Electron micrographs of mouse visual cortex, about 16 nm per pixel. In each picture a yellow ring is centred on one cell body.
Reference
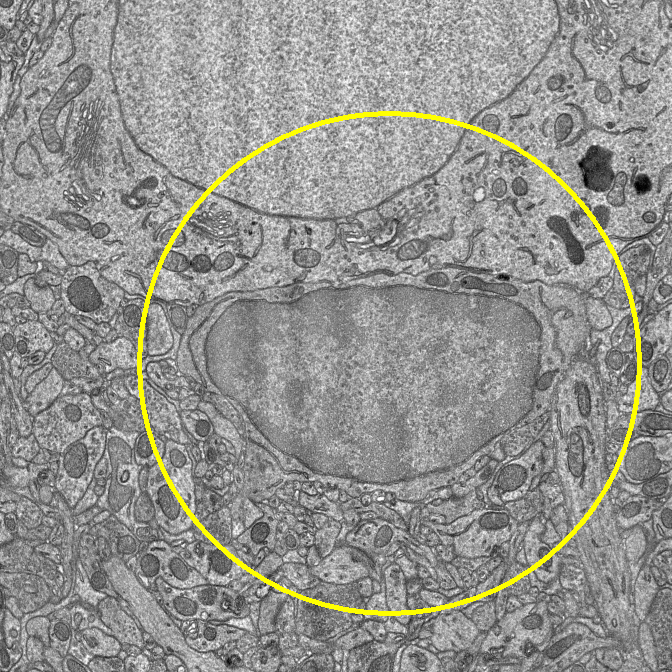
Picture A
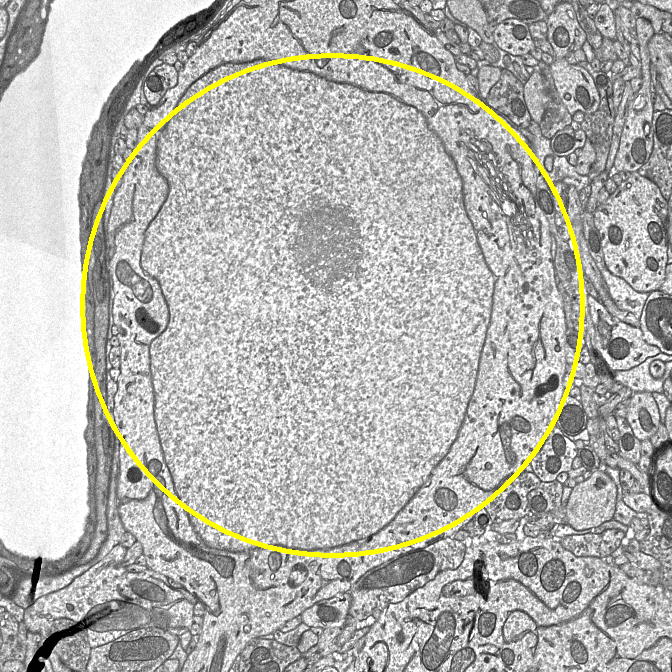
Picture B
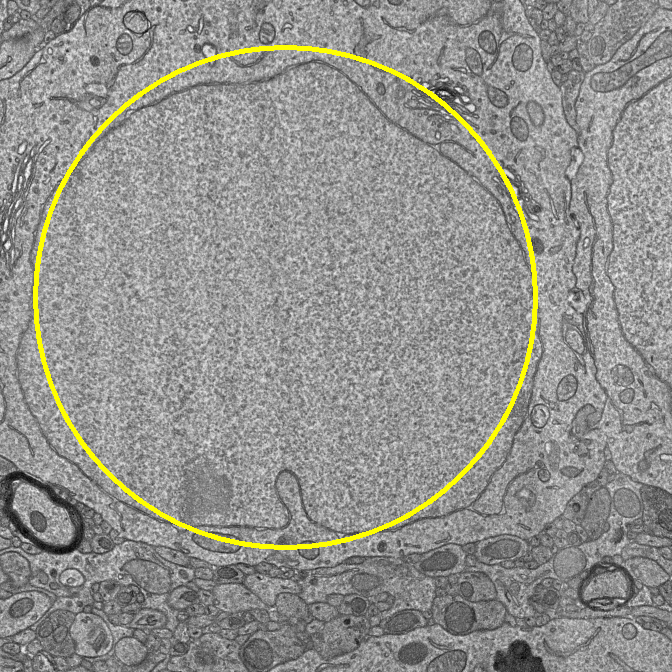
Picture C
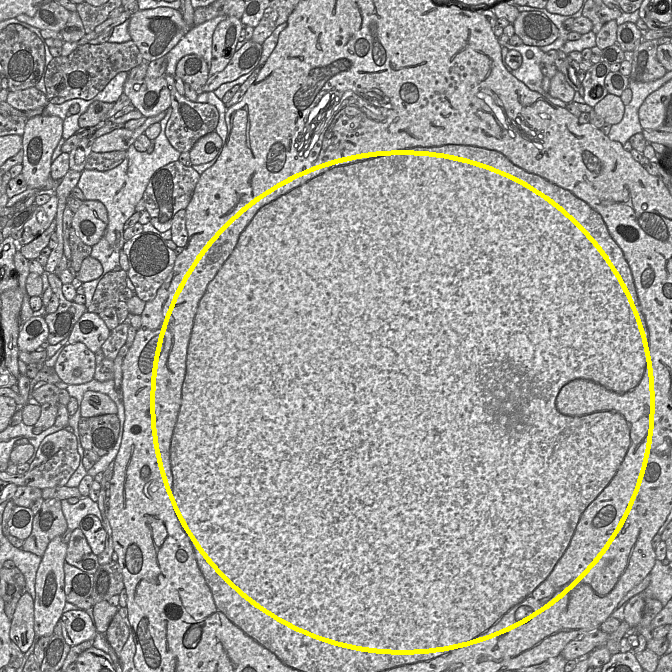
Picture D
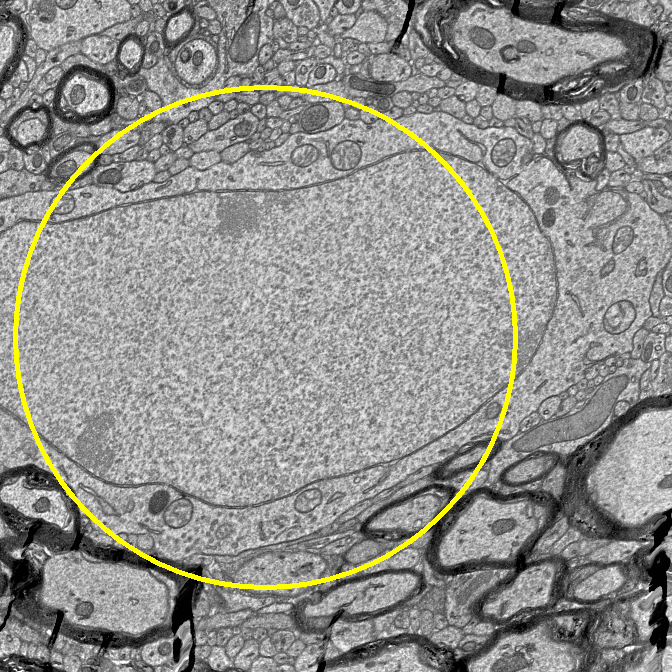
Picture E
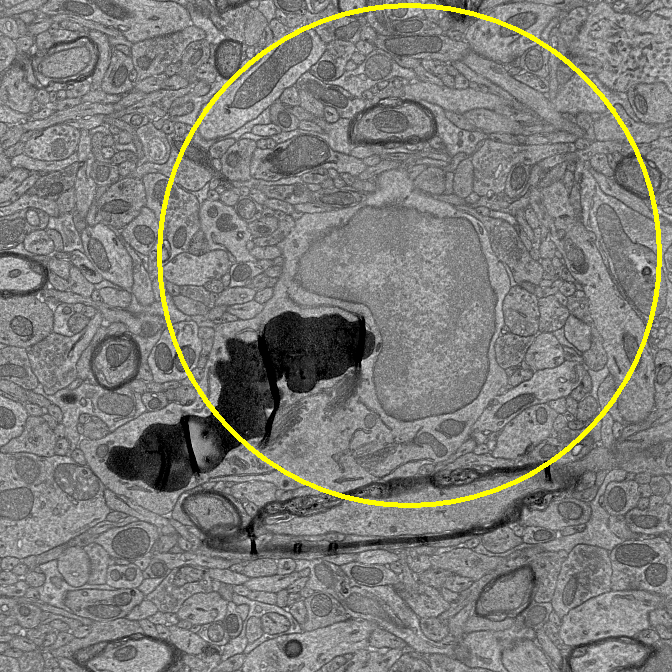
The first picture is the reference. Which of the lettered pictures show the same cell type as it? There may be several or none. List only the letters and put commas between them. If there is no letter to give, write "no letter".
E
